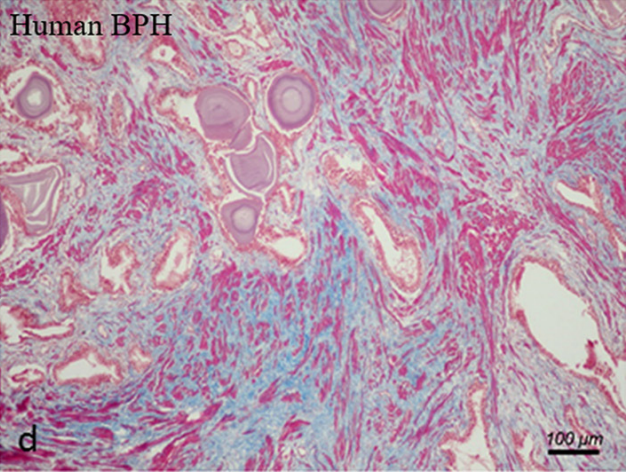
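Scattered glandular spaces of irregular outline are lined by a thin pinkish epithelium, and several lumens contain round, concentrically layered pale bodies. Other lumens are empty and open, lying within the crowded stroma.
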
